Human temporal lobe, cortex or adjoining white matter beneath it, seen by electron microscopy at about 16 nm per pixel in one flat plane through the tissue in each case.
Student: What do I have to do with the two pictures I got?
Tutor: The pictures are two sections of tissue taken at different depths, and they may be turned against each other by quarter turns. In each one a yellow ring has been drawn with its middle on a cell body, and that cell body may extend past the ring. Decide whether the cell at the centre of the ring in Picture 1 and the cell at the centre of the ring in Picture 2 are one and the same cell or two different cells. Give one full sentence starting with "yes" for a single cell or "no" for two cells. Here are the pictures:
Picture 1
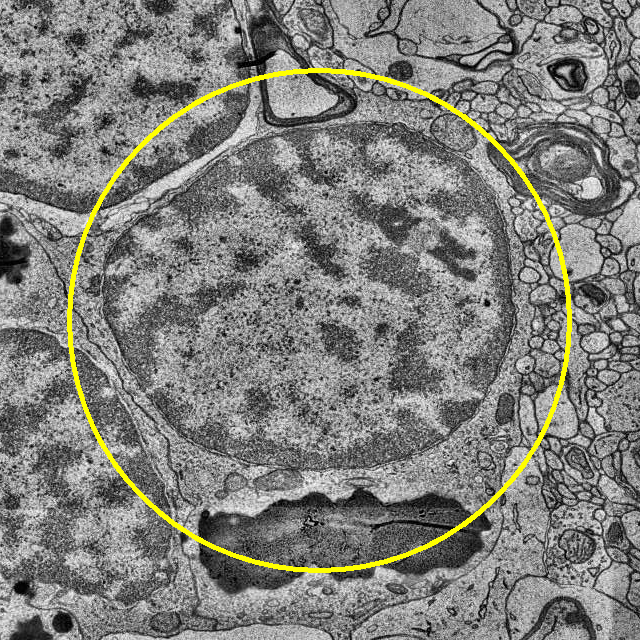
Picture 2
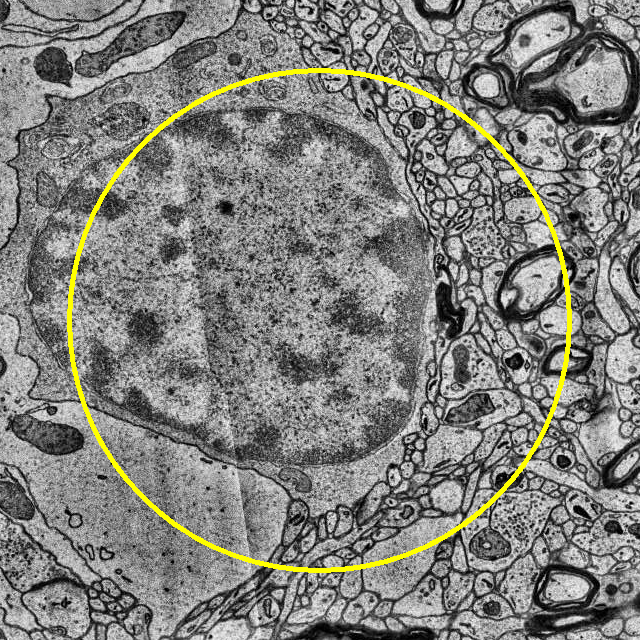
No, the two rings enclose two cells that are not the same.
